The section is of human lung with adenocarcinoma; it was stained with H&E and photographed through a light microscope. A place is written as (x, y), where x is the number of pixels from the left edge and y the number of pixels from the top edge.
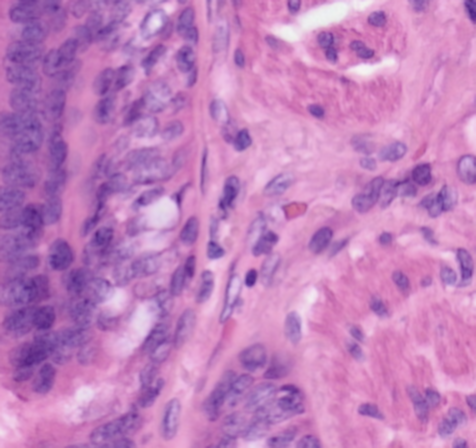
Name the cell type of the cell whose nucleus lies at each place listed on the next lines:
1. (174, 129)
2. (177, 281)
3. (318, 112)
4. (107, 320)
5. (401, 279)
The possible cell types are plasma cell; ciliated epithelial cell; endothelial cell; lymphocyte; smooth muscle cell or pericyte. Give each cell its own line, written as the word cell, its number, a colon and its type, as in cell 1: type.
cell 1: ciliated epithelial cell
cell 2: ciliated epithelial cell
cell 3: smooth muscle cell or pericyte
cell 4: ciliated epithelial cell
cell 5: smooth muscle cell or pericyte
